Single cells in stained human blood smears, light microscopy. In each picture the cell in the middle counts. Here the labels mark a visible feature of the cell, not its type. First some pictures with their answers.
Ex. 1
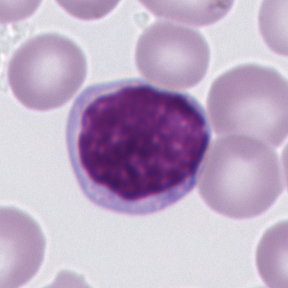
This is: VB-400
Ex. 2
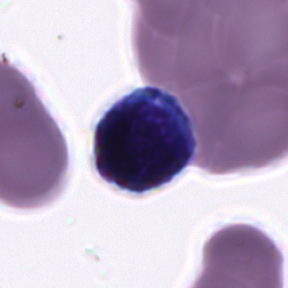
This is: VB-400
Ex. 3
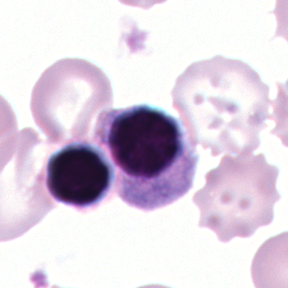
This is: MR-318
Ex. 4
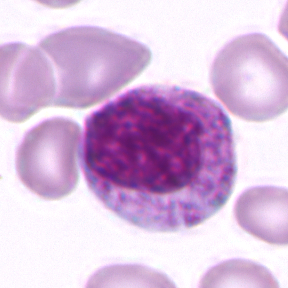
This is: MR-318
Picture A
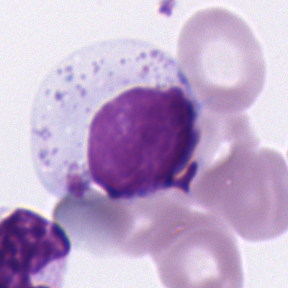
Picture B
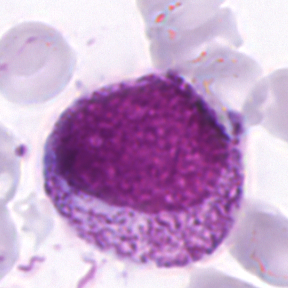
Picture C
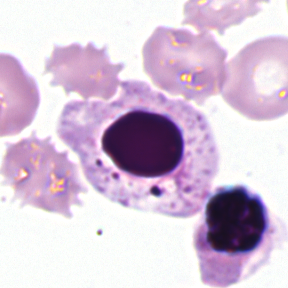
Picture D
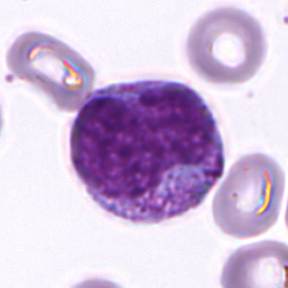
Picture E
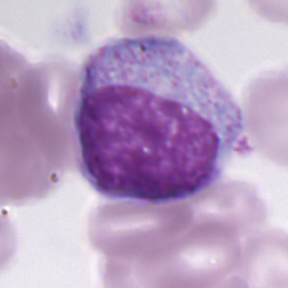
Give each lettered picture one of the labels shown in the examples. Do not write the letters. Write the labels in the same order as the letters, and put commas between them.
MR-318, MR-318, MR-318, VB-400, MR-318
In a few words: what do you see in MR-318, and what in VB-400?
In MR-318: abundant cytoplasm. In VB-400: scant cytoplasm.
